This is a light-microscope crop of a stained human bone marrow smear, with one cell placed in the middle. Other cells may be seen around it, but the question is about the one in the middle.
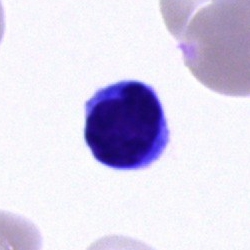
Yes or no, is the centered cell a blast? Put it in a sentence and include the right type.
No, what is seen at the centre is a lymphocyte instead of a blast.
